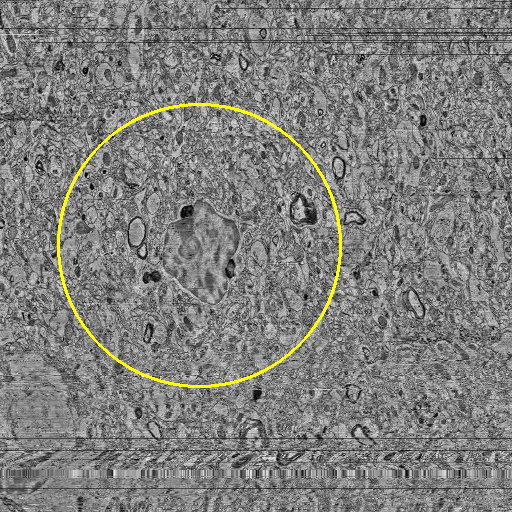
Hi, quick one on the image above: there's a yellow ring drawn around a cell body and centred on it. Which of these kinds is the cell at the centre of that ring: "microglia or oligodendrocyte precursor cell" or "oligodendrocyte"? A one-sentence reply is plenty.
The cell at the centre of the ring is a microglial cell or oligodendrocyte precursor cell.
